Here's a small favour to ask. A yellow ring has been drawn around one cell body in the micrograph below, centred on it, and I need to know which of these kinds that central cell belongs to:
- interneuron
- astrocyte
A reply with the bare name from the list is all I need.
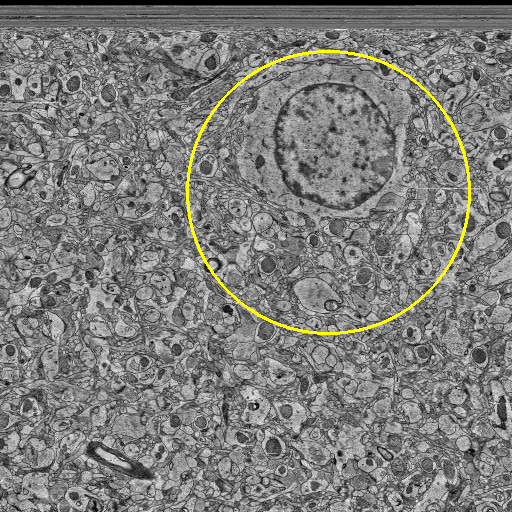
astrocyte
